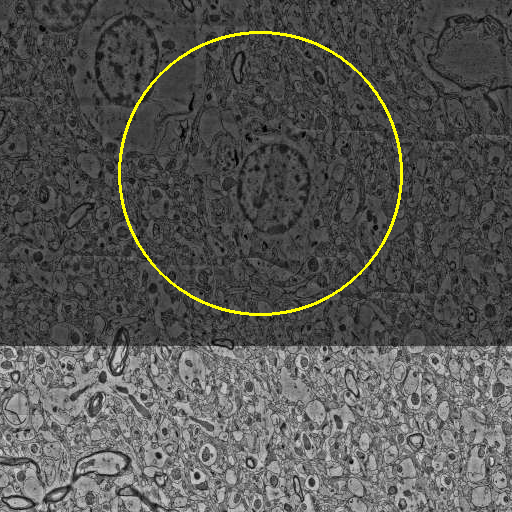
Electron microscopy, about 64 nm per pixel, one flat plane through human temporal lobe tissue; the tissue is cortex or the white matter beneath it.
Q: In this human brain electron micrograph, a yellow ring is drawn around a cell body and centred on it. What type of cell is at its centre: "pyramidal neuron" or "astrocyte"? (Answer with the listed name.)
astrocyte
